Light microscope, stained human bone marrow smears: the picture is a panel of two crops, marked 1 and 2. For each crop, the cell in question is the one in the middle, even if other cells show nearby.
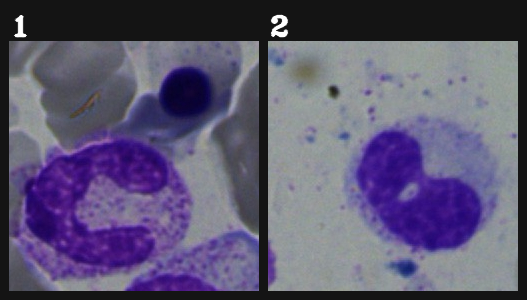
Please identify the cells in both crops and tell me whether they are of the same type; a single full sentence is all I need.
Yes, band neutrophils are seen in both crops.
